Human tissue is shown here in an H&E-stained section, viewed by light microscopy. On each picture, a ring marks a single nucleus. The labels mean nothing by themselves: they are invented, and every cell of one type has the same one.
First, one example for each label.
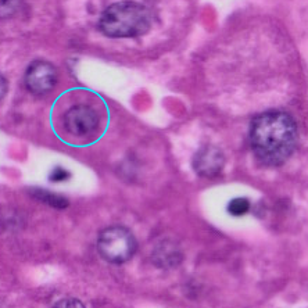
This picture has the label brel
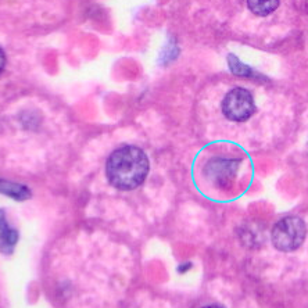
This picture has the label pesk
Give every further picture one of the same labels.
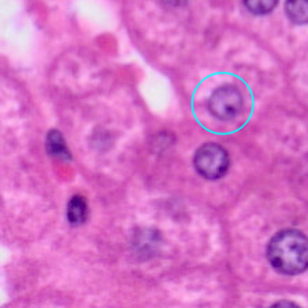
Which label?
brel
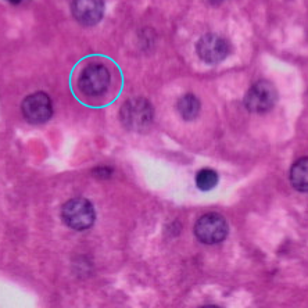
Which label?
brel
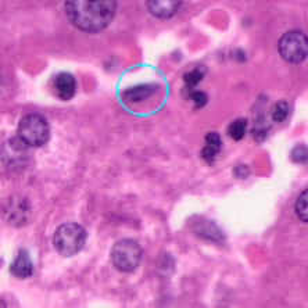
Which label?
pesk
